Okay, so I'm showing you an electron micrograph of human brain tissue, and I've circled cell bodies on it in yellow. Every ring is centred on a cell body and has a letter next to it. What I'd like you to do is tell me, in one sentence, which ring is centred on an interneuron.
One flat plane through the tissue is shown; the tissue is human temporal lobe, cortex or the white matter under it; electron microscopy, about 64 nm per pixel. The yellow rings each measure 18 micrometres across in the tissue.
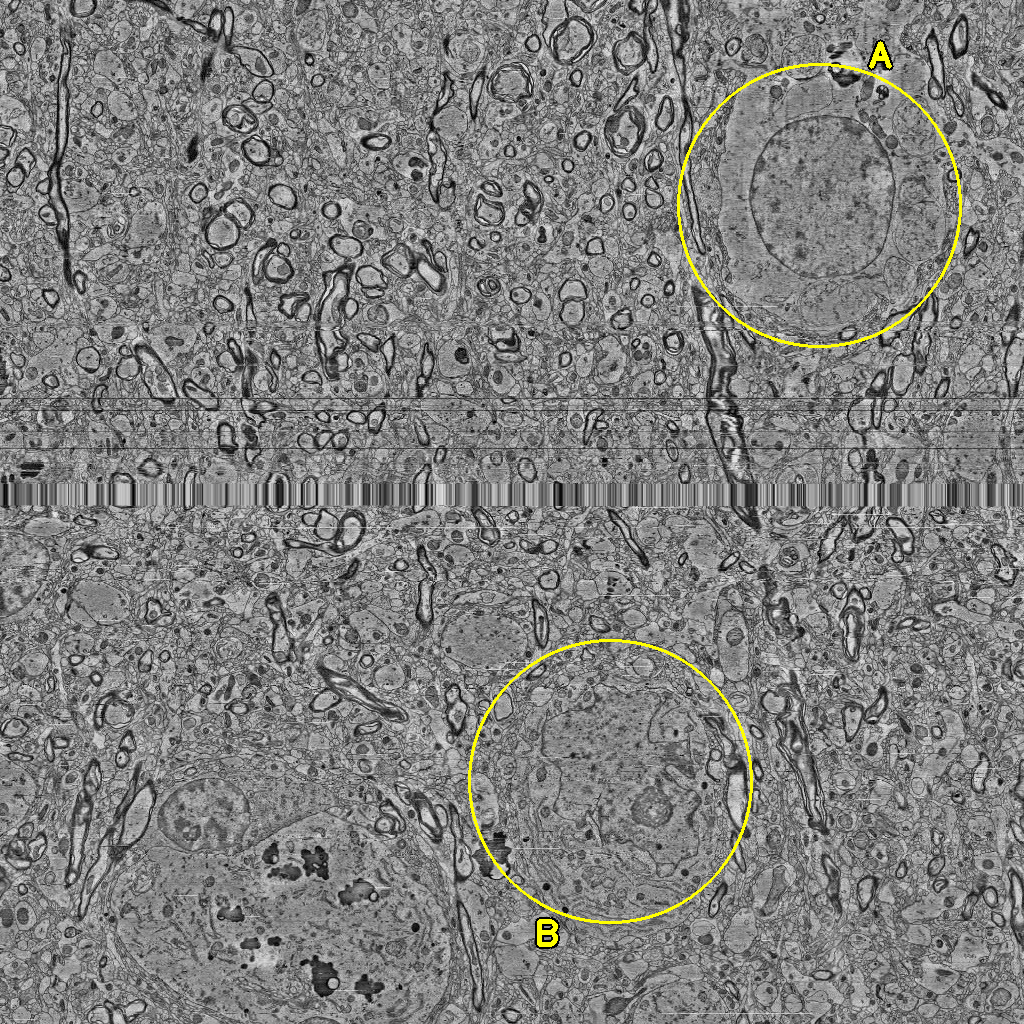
It's ring B.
